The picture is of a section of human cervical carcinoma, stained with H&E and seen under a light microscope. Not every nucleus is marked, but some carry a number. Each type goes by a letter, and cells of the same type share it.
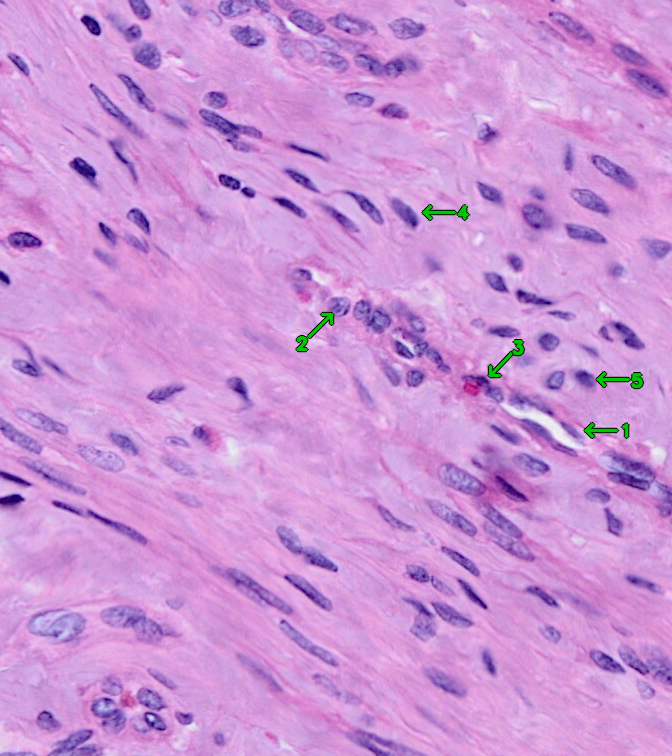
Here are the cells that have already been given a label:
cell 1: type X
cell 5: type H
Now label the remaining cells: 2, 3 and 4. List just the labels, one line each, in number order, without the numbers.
type X
type X
type H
